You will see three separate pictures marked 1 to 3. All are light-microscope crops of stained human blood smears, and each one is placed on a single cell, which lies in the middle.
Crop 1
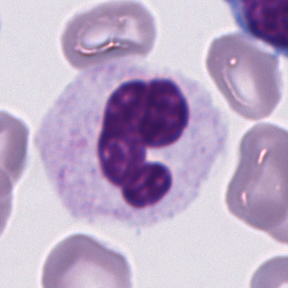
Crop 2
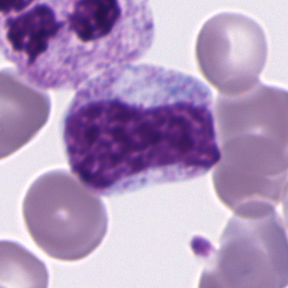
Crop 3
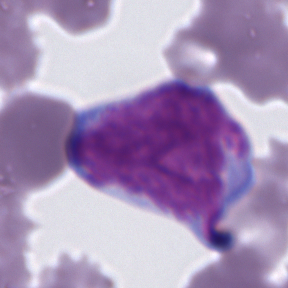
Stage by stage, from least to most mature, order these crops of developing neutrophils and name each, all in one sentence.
From the earliest stage onward, the order is crop 3 (a blast), crop 2 (a metamyelocyte) and crop 1 (a segmented neutrophil).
